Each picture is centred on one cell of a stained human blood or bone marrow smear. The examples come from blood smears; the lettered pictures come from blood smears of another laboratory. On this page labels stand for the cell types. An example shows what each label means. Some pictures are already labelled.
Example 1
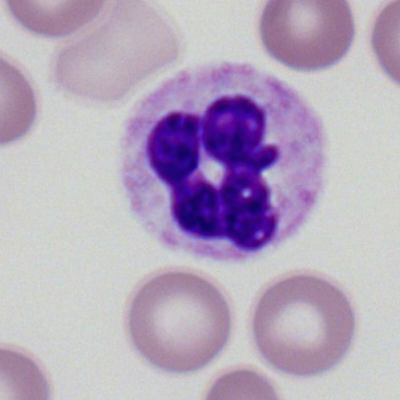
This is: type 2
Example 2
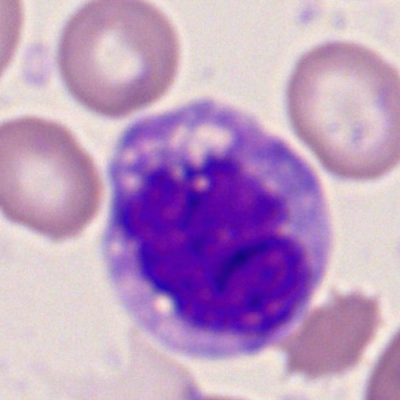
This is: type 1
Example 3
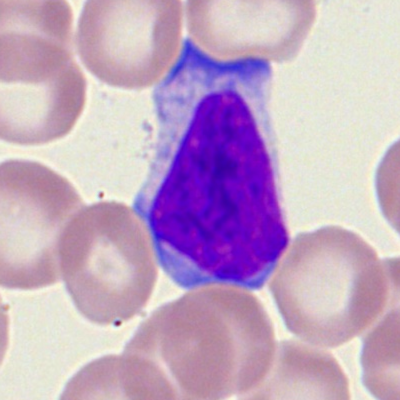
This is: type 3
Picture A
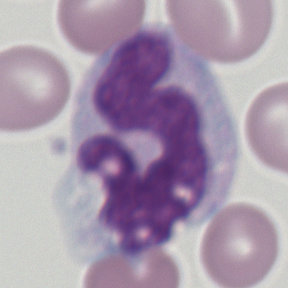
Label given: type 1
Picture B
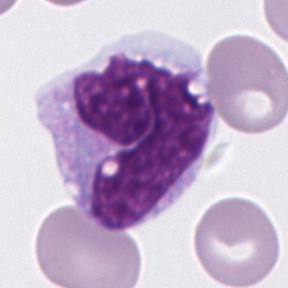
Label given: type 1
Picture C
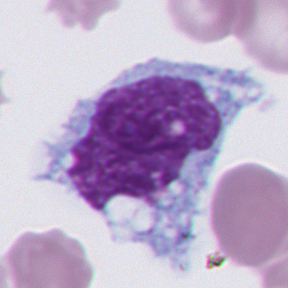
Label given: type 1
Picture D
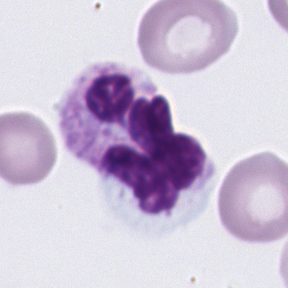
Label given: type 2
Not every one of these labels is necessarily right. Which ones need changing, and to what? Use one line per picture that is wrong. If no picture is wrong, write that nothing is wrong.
Every label is right.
